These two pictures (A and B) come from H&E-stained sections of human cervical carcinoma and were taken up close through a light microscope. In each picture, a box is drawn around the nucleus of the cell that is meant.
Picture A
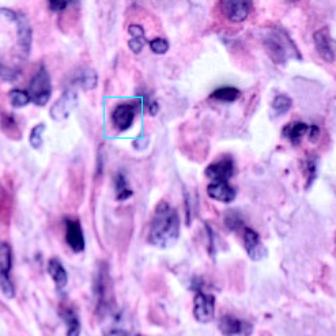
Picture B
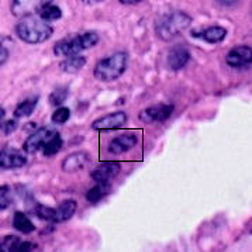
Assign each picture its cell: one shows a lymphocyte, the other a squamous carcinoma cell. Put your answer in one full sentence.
It is picture A that shows a lymphocyte, and picture B that shows a squamous carcinoma cell.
